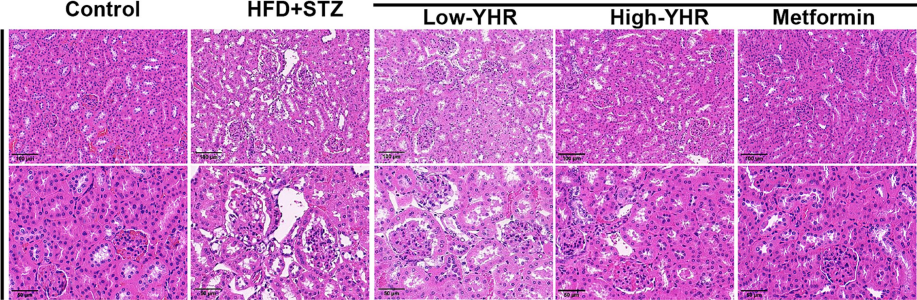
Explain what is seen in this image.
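Round glomeruli, made of tufts of capillary loops with blue nuclei, lie within Bowman's capsules and are surrounded by closely packed tubules lined by cuboidal epithelial cells with pink cytoplasm and round blue nuclei. Between fields the glomeruli vary in size, and in some fields they appear enlarged, with wider or irregular spaces around the tuft and dilated tubular lumens, while in others the tubules are compact with narrow lumens.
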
